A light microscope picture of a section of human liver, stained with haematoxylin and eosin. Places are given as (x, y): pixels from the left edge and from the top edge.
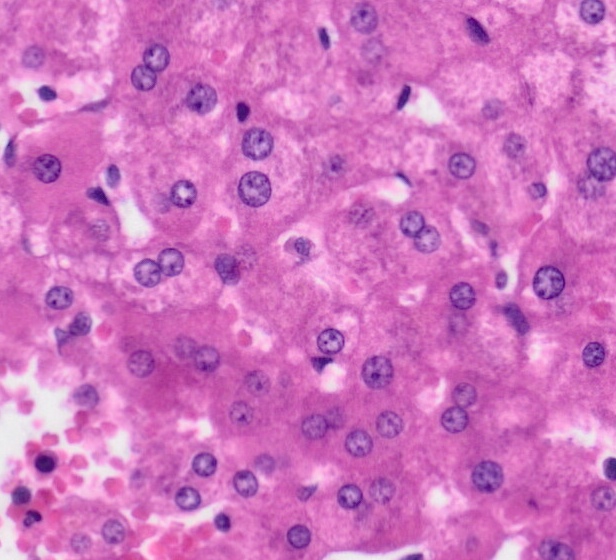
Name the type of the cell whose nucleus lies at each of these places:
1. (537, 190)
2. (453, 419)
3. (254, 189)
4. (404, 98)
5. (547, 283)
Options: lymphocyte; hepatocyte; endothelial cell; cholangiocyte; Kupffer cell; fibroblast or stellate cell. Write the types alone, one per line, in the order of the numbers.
Kupffer cell
hepatocyte
hepatocyte
endothelial cell
hepatocyte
